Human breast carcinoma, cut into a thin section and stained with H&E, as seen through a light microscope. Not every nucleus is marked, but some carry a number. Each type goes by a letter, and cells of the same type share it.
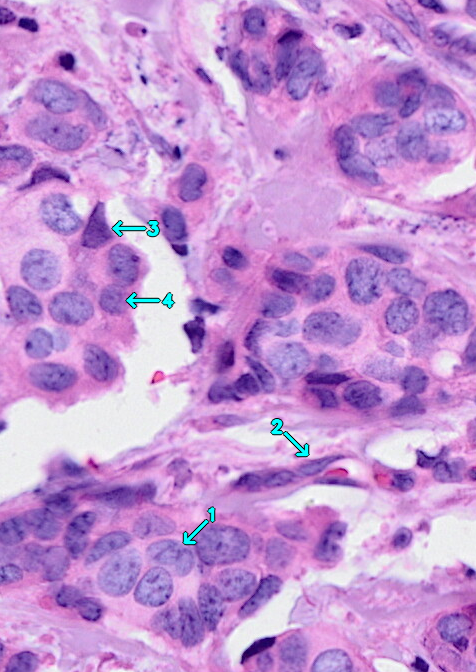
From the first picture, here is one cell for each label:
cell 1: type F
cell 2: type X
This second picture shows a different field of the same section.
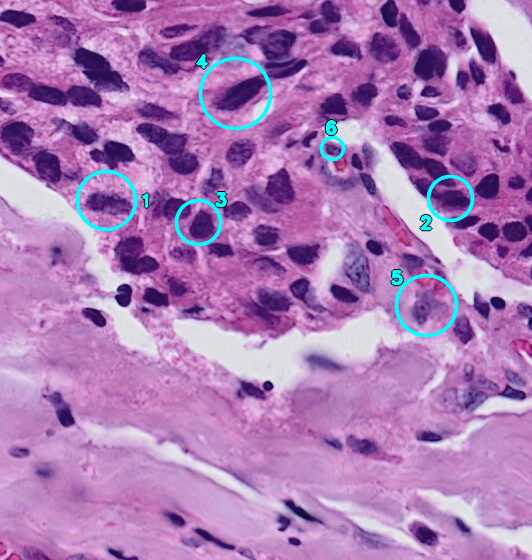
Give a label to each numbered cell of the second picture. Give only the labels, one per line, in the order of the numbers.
type F
type F
type F
type F
type X
type X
